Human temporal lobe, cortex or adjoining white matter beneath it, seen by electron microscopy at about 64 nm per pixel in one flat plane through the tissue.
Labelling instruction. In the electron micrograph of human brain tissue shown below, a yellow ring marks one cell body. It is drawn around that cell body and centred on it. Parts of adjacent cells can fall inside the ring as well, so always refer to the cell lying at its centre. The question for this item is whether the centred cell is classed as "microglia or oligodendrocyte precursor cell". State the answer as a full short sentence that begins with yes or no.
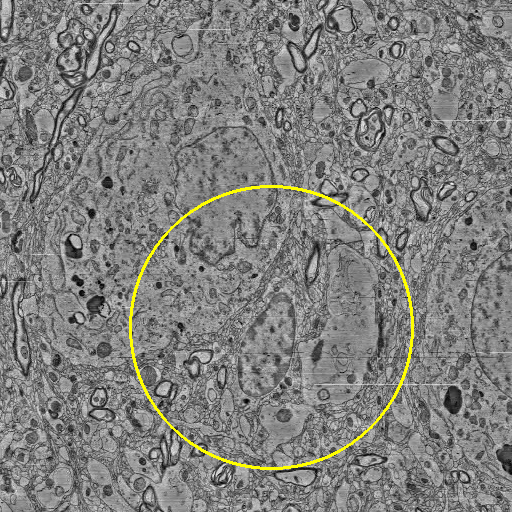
Yes, the centred cell is of that class.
